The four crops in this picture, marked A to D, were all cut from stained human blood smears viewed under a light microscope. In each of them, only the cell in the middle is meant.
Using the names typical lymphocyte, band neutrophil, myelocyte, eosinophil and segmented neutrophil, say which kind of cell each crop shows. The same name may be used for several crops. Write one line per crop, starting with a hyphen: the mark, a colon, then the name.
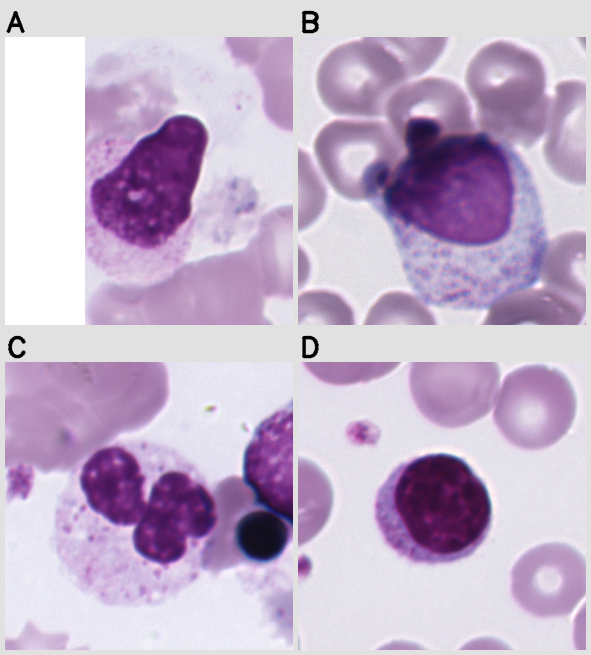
- A: band neutrophil
- B: myelocyte
- C: segmented neutrophil
- D: typical lymphocyte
